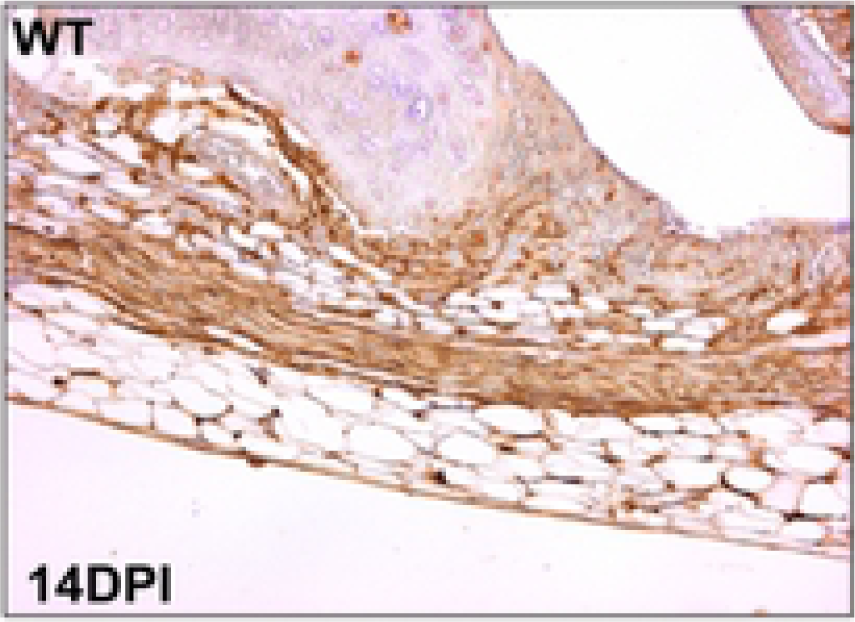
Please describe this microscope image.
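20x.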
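This joint tissue section shows a dense band of fibrous tissue above a layer of fat cells, with brown-stained cells spread through it. The brown stain is concentrated in the fibrous band, where elongated brown cells lie aligned with the fibres. Below, the fat cells appear as clear, empty rounded spaces, and brown staining outlines the thin septa between them. At the upper part of the field a paler, bluish-grey cartilage-like surface is seen.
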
